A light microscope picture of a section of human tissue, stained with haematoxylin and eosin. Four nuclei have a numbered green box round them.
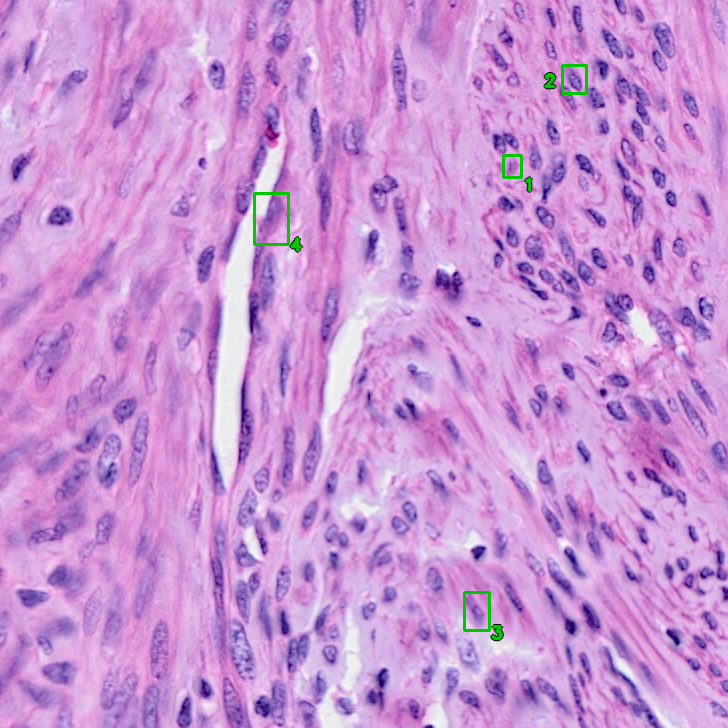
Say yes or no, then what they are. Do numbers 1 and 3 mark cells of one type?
Yes, cell 1 and cell 3 are both smooth muscle cells.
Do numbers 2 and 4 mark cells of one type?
No, cell 2 is recognized as a smooth muscle cell, and cell 4 as an endothelial cell.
